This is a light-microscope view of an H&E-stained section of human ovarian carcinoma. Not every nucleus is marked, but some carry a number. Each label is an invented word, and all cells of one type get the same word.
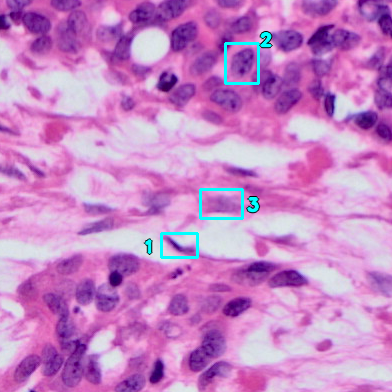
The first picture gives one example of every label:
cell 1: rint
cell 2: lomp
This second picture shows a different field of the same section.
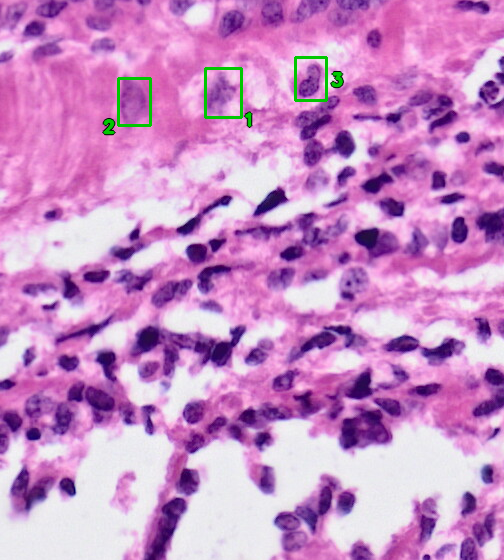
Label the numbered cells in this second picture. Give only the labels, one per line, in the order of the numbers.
rint
rint
lomp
